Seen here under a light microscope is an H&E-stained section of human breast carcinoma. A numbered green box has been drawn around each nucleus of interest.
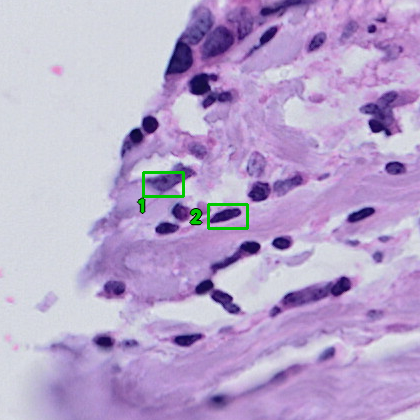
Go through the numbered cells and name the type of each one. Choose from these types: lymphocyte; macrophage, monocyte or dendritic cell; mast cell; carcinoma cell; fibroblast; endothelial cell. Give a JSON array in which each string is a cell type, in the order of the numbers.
["fibroblast", "lymphocyte"]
